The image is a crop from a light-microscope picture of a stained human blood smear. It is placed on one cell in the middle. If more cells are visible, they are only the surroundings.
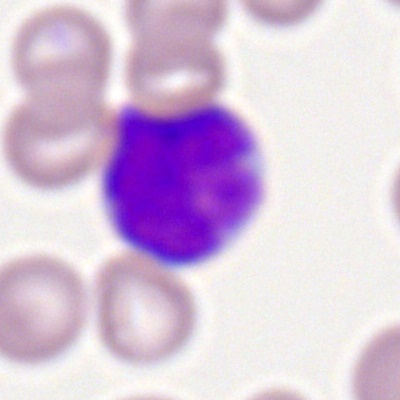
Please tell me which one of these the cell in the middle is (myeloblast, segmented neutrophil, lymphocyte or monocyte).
myeloblast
